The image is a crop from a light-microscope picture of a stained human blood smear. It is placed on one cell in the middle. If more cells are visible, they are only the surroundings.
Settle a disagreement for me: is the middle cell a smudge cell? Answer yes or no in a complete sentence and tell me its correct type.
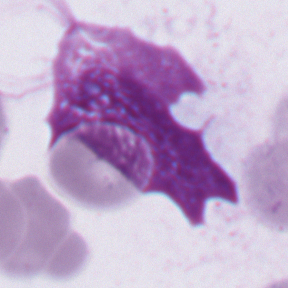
Yes, the cell at the center of the crop is a smudge cell.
